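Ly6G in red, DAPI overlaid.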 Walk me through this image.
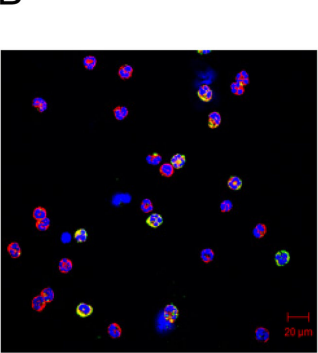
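Most are small round cells in which red stain surrounds or mixes with a blue nucleus. A number of cells show yellow or green stain, partly or largely covering the cell. A few blue nuclei lie without red stain, some clumped together in small groups.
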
